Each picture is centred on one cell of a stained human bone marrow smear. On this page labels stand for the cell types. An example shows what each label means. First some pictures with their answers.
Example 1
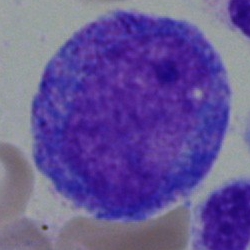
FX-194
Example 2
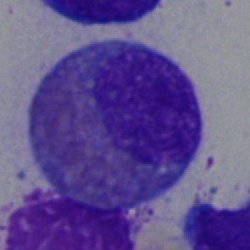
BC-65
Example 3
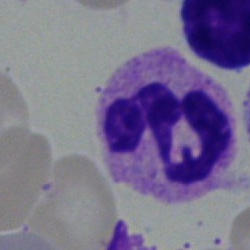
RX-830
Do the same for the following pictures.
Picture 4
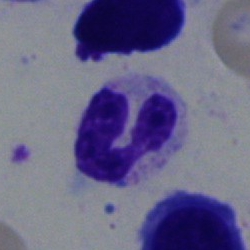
RX-830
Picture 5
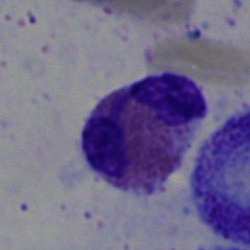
BC-65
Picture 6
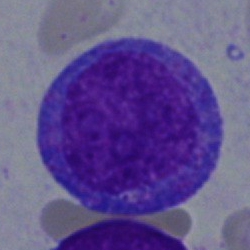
FX-194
